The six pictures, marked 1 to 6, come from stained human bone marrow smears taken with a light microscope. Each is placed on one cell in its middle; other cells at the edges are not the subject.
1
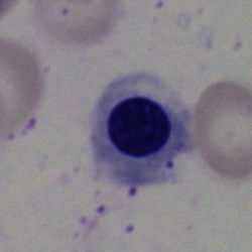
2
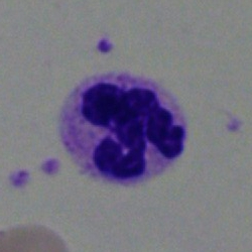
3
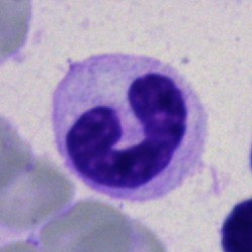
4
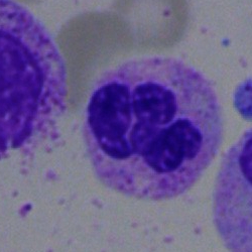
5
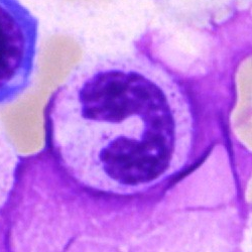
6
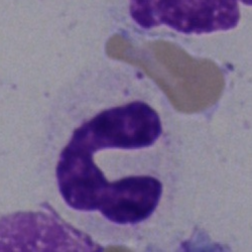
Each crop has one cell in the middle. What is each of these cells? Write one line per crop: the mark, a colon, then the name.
1: normoblast
2: segmented neutrophil
3: band neutrophil
4: segmented neutrophil
5: band neutrophil
6: band neutrophil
